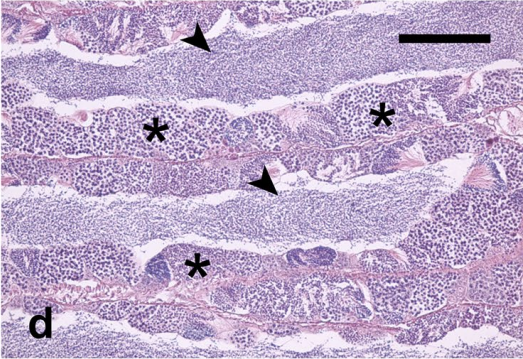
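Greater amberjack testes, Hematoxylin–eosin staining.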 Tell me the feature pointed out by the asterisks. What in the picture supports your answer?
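The asterisks sit on compact dark purple nests of round nuclei lining the tubules. Nests are bounded by thin pink connective tissue.
Spermatocysts.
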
